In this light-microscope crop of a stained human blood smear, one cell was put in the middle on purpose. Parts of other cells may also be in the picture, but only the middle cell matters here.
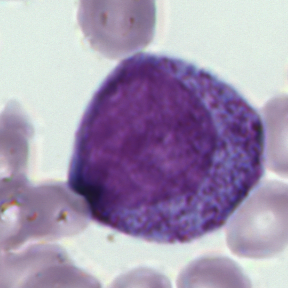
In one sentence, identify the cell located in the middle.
The cell centered in this field of view is a promyelocyte.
